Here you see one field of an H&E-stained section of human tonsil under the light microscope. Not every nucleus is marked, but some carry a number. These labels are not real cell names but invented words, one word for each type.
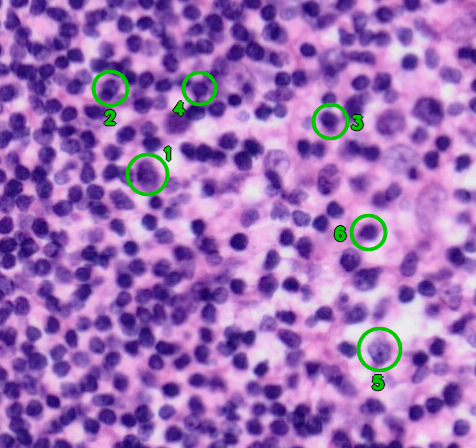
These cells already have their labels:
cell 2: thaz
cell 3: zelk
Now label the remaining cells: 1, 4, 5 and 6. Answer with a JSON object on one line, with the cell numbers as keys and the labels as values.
{"1": "zelk", "4": "thaz", "5": "zelk", "6": "zelk"}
